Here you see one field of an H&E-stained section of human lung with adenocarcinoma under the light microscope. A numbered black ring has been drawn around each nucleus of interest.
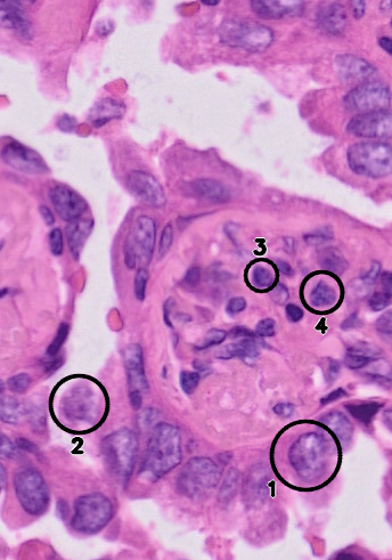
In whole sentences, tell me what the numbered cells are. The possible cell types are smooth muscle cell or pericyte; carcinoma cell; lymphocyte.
Cells 1 and 2 are carcinoma cells. Cells 3 and 4 are lymphocytes.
